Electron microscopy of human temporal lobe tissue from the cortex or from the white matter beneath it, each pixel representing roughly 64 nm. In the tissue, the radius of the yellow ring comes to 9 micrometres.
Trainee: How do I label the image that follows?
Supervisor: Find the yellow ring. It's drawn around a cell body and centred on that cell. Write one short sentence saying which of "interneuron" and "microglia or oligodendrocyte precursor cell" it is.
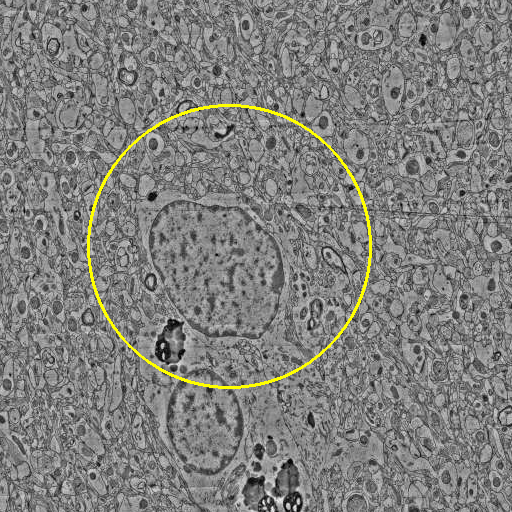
This is the cell body of a microglial cell or oligodendrocyte precursor cell.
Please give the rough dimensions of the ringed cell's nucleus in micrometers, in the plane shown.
The nucleus of the ringed cell is approximately 10 by 8 micrometres in this plane.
